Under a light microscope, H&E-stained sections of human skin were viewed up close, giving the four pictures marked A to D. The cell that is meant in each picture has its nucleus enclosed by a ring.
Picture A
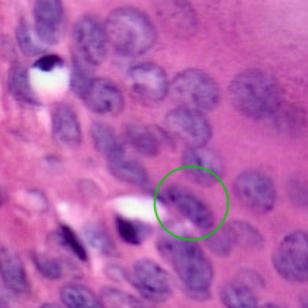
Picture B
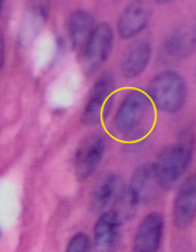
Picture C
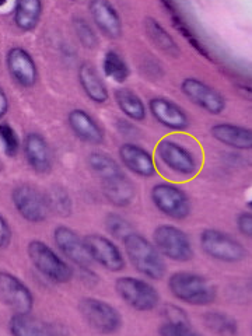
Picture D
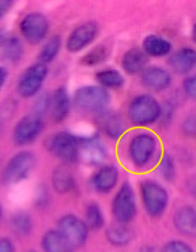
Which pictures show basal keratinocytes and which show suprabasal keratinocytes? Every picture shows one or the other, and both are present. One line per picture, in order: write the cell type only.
basal keratinocyte
basal keratinocyte
suprabasal keratinocyte
basal keratinocyte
